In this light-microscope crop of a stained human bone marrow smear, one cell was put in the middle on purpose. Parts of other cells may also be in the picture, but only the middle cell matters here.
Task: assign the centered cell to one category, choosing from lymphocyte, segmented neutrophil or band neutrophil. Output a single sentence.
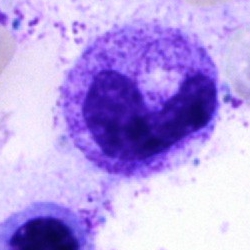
The cell of interest, located centrally, is a band neutrophil.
